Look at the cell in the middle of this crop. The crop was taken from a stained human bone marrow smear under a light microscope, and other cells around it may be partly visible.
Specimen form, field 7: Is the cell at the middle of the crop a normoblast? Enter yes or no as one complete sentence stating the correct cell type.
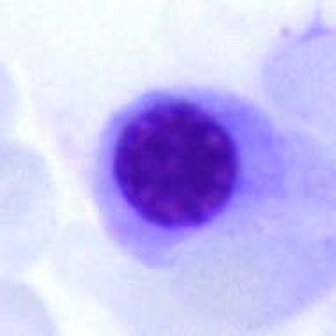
Yes, the cell centred in this crop is a normoblast.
